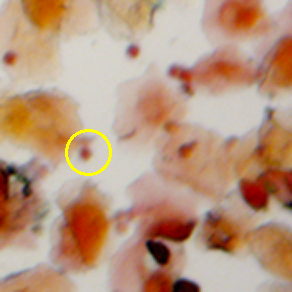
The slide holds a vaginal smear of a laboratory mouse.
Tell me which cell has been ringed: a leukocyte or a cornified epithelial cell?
It is a leukocyte.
